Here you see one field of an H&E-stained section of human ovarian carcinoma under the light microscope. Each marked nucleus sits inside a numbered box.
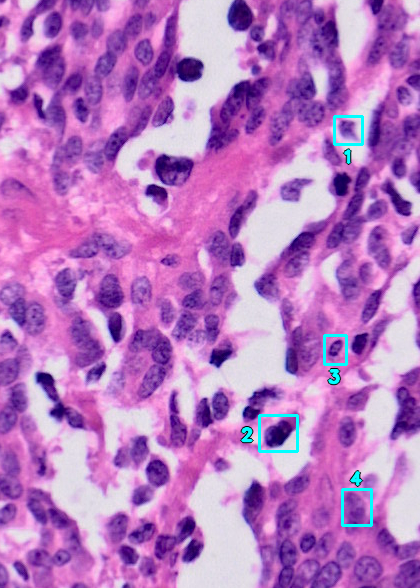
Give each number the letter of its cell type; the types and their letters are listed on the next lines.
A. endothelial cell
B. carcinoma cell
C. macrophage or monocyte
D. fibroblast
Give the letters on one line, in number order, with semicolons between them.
B; B; C; B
